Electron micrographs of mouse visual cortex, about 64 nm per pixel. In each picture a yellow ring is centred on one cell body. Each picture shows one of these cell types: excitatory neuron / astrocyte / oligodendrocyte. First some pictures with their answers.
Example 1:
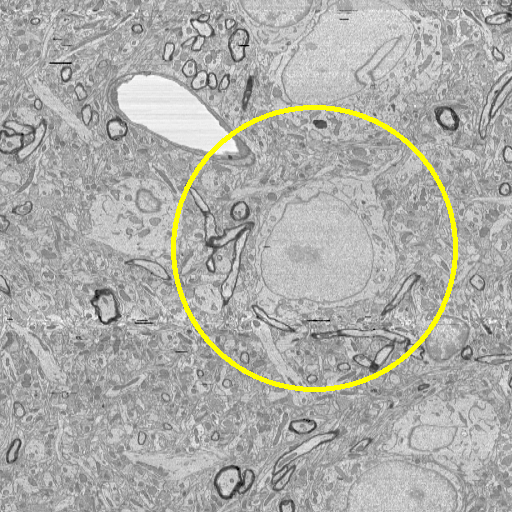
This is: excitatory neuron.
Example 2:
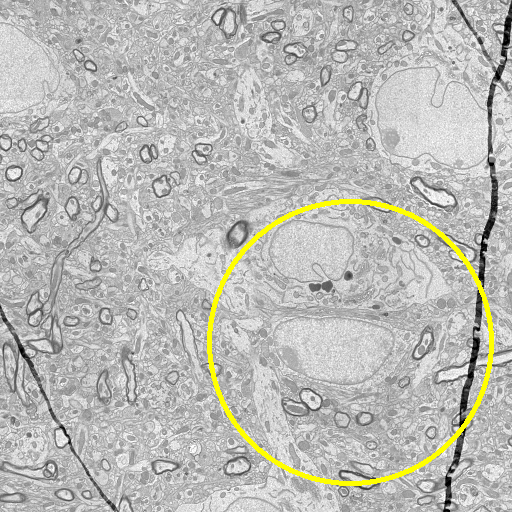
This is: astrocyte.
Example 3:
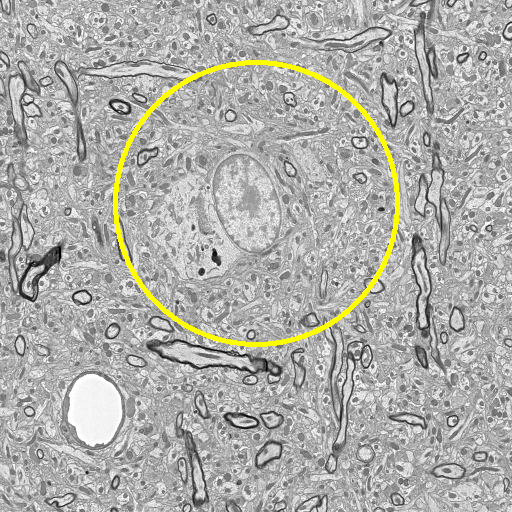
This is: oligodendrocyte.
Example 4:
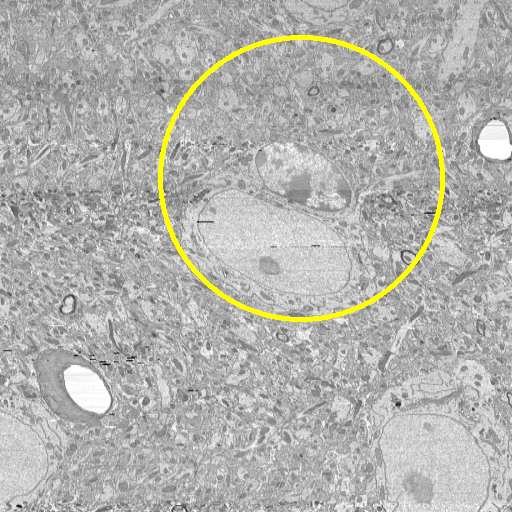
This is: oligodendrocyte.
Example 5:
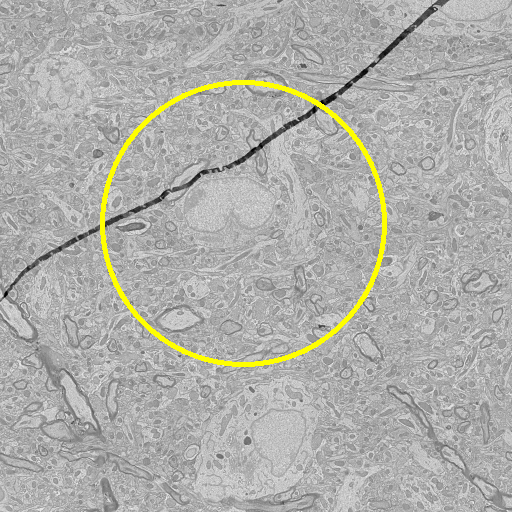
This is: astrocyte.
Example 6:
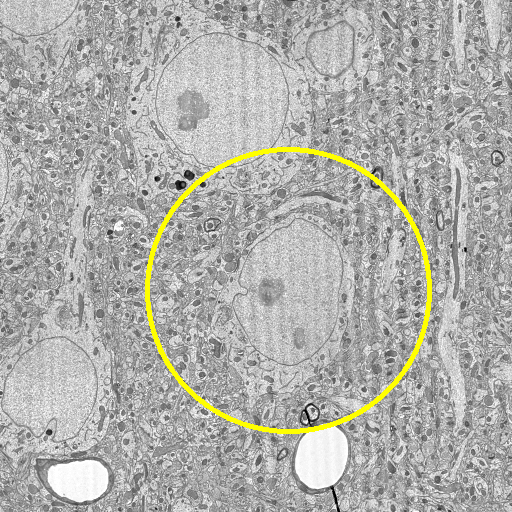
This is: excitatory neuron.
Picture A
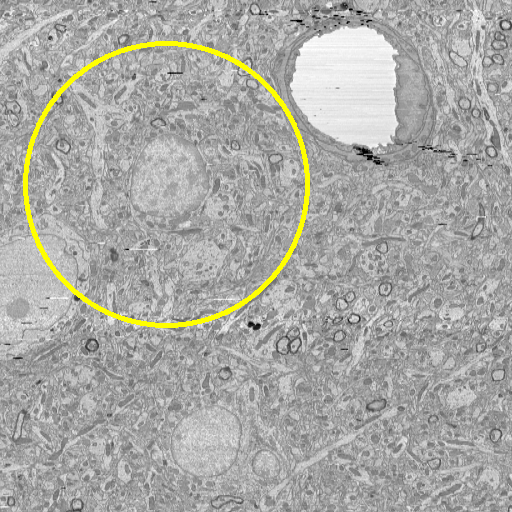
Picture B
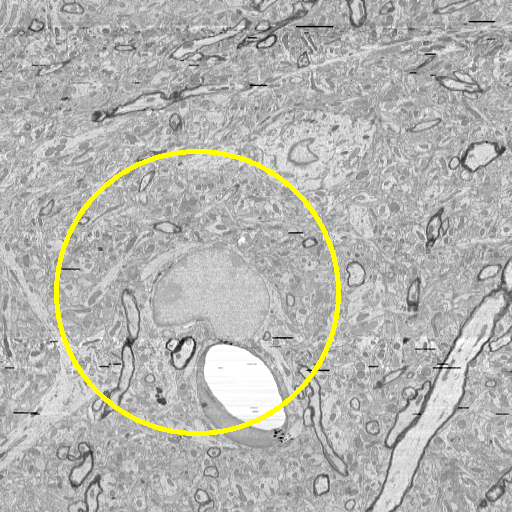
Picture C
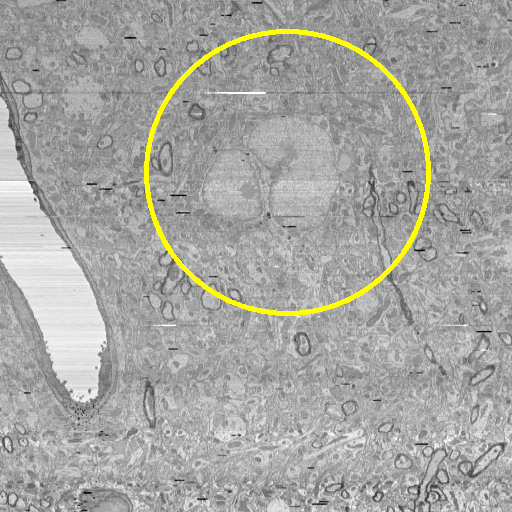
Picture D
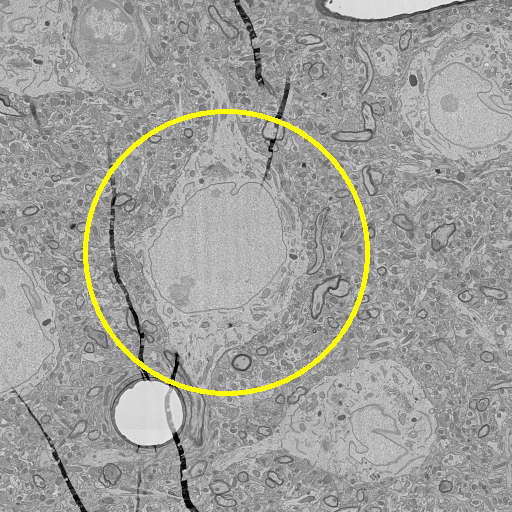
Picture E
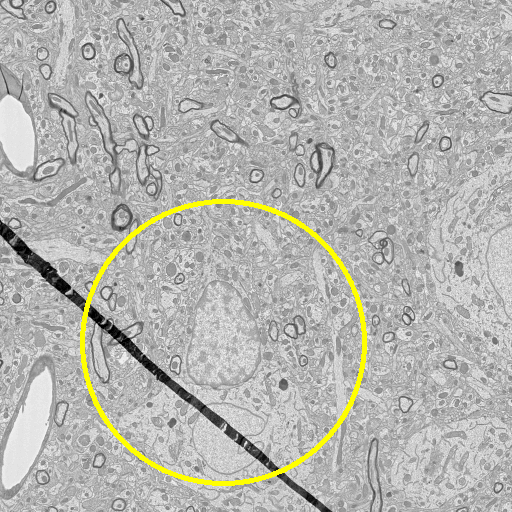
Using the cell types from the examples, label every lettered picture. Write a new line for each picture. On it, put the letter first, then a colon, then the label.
A: oligodendrocyte.
B: astrocyte.
C: astrocyte.
D: excitatory neuron.
E: oligodendrocyte.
